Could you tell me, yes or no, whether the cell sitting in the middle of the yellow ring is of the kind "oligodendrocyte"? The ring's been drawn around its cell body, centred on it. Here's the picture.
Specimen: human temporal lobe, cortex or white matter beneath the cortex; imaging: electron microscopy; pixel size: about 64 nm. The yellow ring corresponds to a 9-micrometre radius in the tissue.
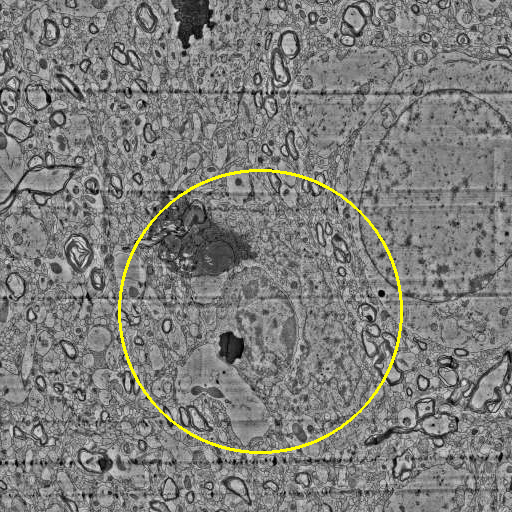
Yes, it is.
